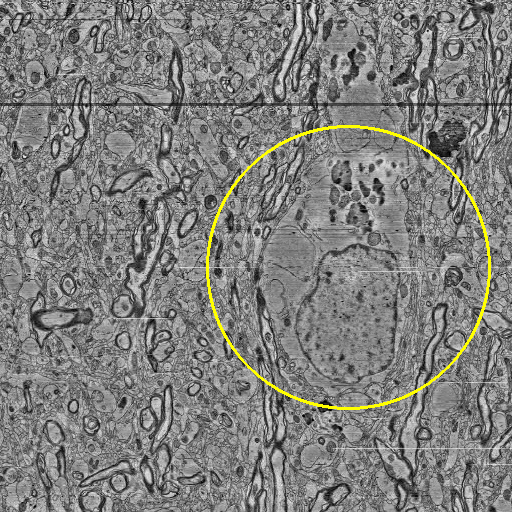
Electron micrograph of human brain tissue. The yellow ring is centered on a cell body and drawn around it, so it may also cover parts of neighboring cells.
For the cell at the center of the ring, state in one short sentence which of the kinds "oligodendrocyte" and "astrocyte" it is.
This ring is centered on an astrocyte.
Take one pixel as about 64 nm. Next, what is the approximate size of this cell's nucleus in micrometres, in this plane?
The nucleus is approximately 9 micrometers long by 6 micrometers wide in this plane.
